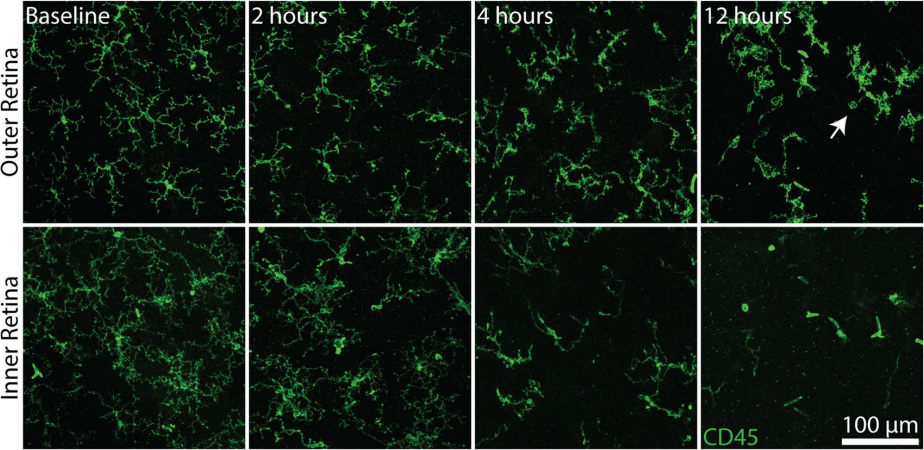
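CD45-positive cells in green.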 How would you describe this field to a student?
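These are microglia in a flattened retina, seen from above as green cells scattered across a dark field. In the leftmost images the cells are ramified: a small body gives off many long, thin, branching processes that spread out and tile the field. Moving to the right, the processes become fewer, shorter and thicker, and the cell bodies look bulkier and more irregular. In the upper row the cells end up crowded with stubby, knobbly branches, while in the lower row the field thins out until only a few sparse fragments and short rod-like profiles remain. The change is a gradual loss of fine branching.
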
